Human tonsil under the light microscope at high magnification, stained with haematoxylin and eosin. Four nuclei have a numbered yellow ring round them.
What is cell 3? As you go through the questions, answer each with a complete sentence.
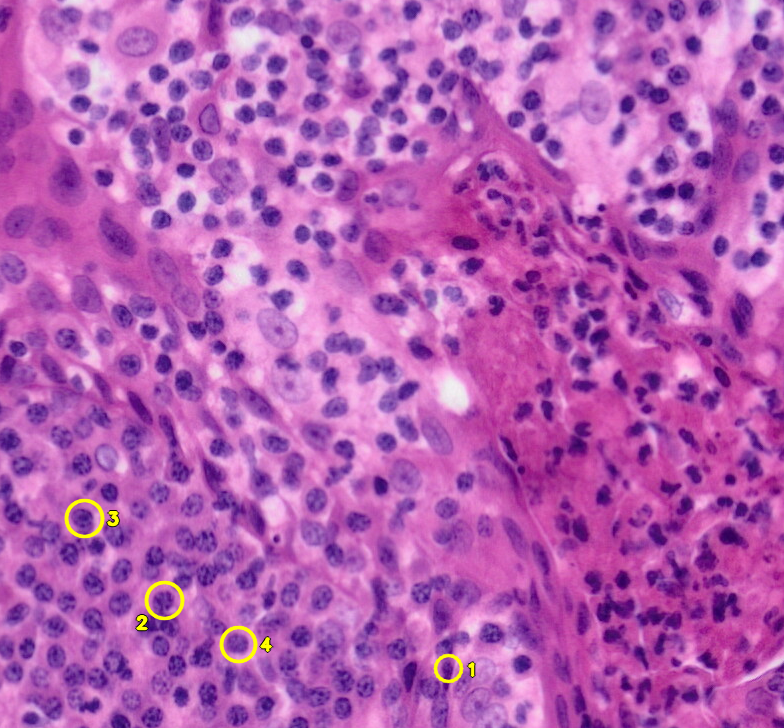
Cell 3 of the marked set is a plasma cell.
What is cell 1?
Identified as a squamous epithelial cell is the cell bearing the number 1.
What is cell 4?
Among the marked cells, number 4 is a plasma cell.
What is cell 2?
The one numbered 2 among the marked cells is a plasma cell.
